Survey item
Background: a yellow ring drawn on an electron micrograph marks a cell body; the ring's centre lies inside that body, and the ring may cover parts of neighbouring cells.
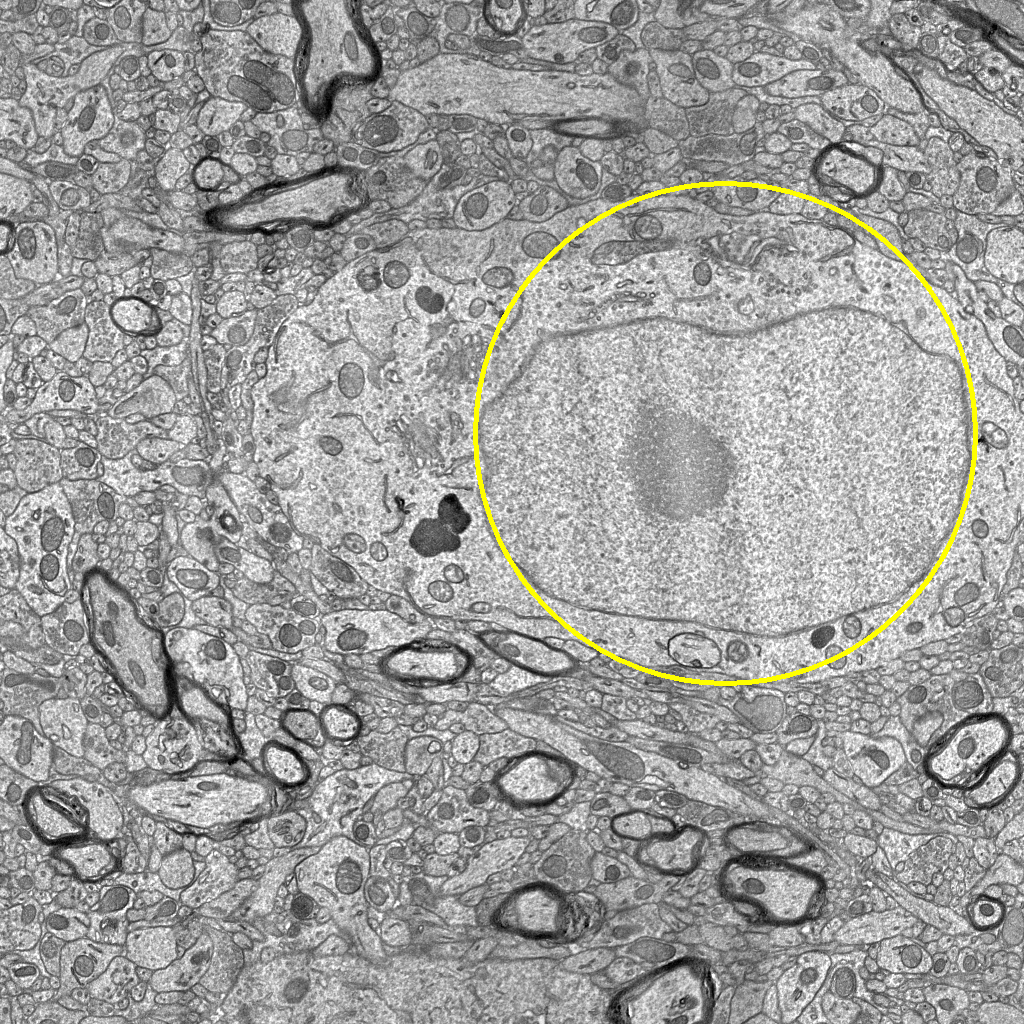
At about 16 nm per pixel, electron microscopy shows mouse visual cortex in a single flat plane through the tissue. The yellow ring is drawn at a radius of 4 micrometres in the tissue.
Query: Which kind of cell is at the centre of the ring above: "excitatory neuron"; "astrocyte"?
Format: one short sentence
The cell in the middle of the ring is an excitatory neuron.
